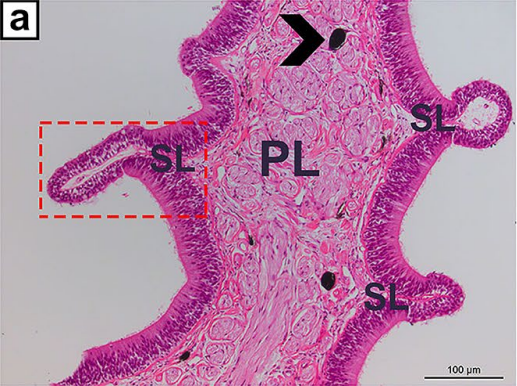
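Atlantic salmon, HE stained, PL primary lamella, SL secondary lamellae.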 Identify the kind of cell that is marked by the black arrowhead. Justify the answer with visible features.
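The arrowhead points to a black, opaque pigmented body in the core tissue. Several similar black-brown pigmented spots are scattered through the core.
Conclusion: melanin-containing cells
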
